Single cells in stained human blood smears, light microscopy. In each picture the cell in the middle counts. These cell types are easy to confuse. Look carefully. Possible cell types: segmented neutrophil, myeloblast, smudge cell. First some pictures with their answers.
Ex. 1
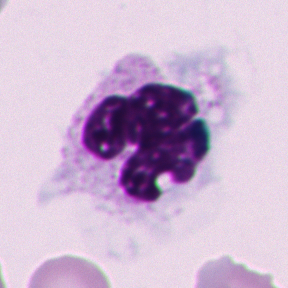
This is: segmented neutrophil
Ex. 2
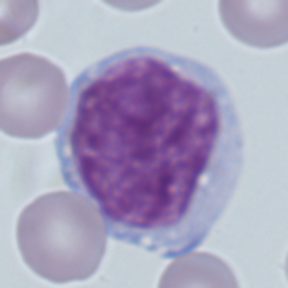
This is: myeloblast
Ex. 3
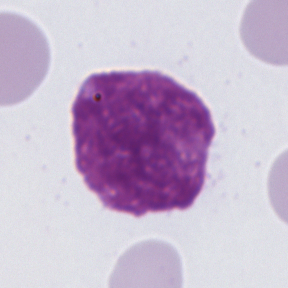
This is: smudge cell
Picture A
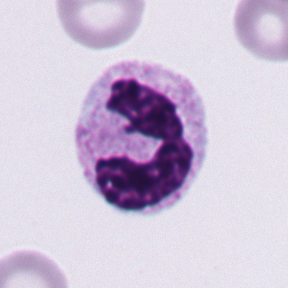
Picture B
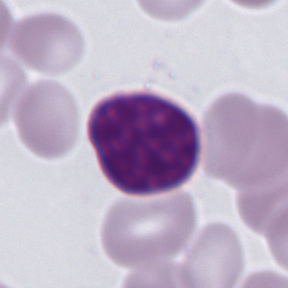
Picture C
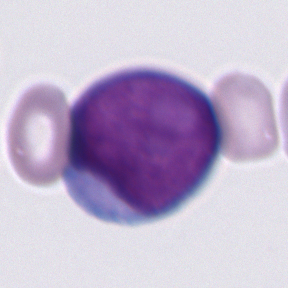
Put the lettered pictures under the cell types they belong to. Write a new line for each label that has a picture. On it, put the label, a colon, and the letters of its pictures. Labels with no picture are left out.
segmented neutrophil: A
myeloblast: C
smudge cell: B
